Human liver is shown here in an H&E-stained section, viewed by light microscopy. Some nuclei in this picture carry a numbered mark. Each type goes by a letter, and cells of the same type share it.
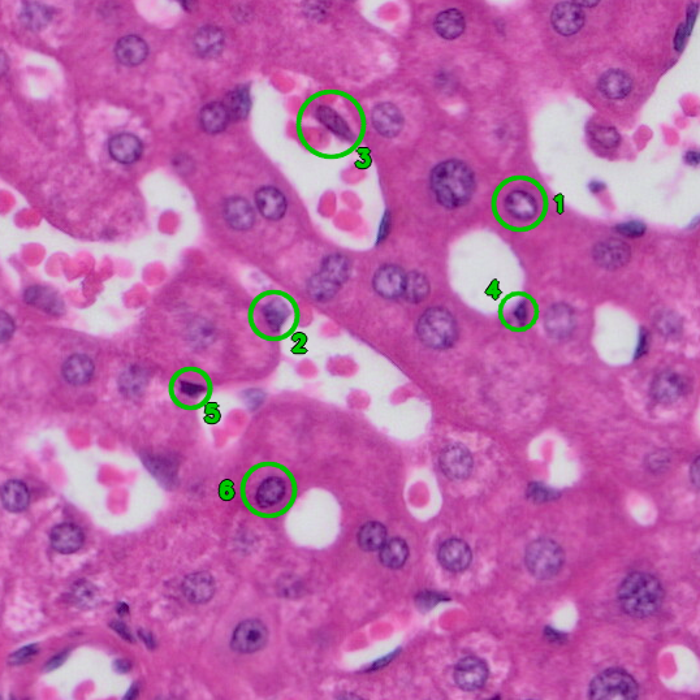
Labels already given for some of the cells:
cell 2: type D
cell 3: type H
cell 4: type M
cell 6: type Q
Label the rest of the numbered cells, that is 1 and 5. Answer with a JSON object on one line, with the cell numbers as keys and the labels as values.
{"1": "type Q", "5": "type M"}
